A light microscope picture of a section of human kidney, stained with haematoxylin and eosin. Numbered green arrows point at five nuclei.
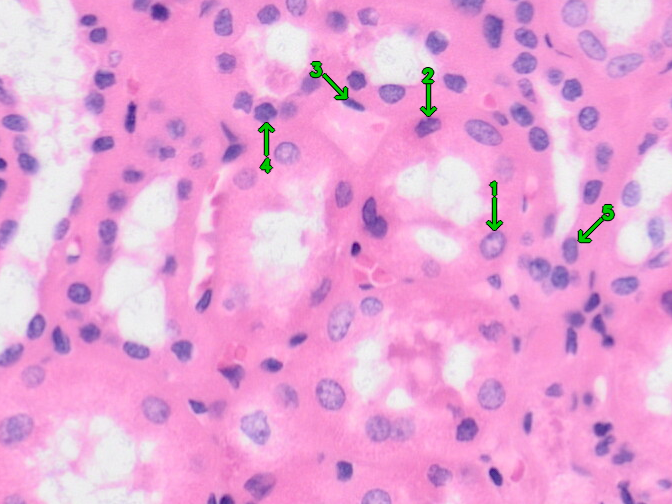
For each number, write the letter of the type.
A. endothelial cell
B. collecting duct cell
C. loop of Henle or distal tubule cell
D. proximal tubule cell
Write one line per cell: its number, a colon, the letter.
1: D
2: D
3: A
4: C
5: B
